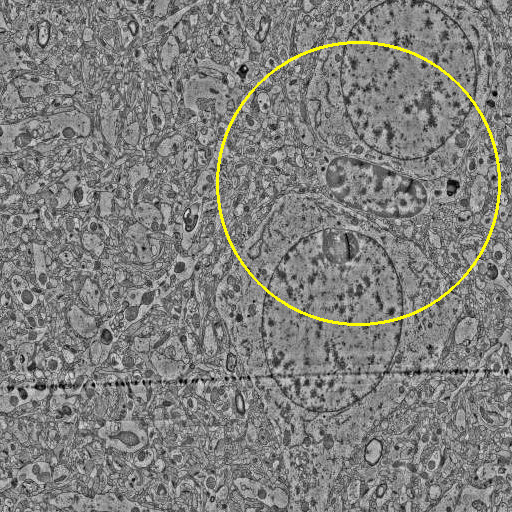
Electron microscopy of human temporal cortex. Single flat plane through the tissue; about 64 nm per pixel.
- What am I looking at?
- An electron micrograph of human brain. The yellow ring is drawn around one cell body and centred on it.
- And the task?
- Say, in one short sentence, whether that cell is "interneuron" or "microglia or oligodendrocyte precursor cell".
The cell in the middle of the ring is a microglial cell or oligodendrocyte precursor cell.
